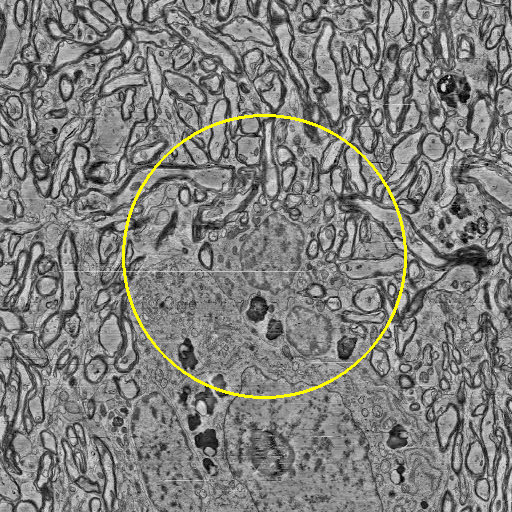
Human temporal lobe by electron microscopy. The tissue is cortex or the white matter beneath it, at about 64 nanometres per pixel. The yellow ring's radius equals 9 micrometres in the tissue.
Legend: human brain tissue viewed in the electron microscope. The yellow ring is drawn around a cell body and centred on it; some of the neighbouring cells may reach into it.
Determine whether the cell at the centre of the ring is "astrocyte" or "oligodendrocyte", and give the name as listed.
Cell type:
oligodendrocyte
